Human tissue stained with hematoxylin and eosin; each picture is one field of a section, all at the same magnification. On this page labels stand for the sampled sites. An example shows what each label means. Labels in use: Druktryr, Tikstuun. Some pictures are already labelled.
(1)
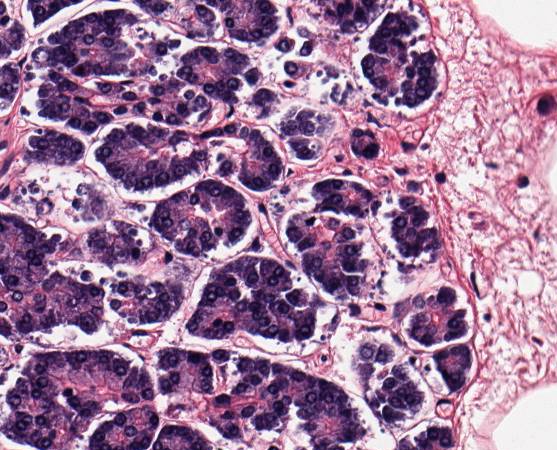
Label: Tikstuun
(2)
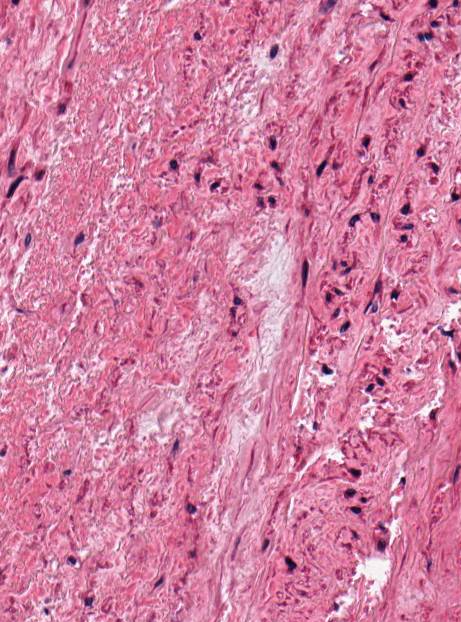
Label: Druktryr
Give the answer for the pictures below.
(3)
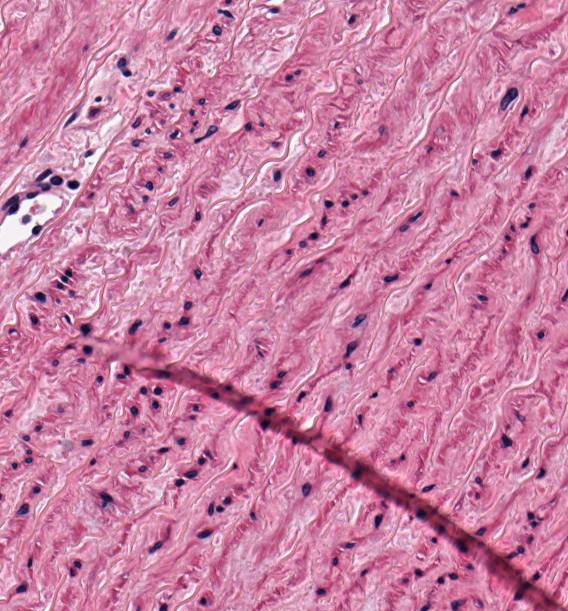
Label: Druktryr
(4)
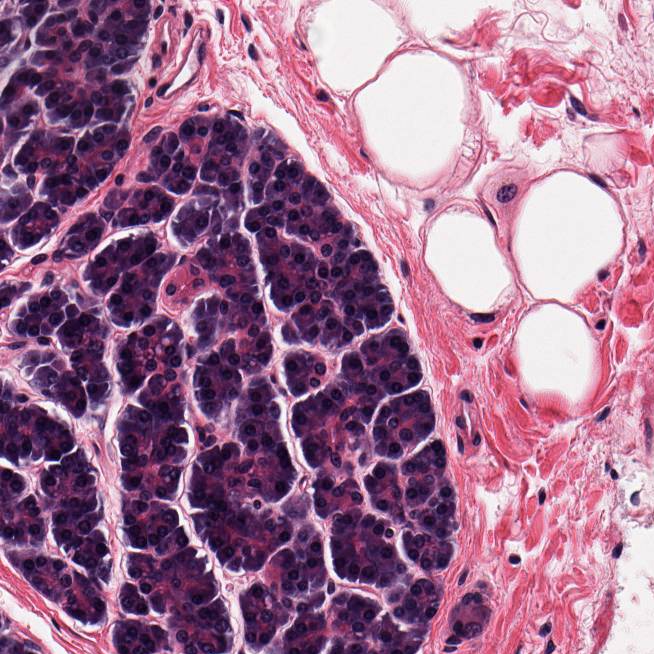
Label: Tikstuun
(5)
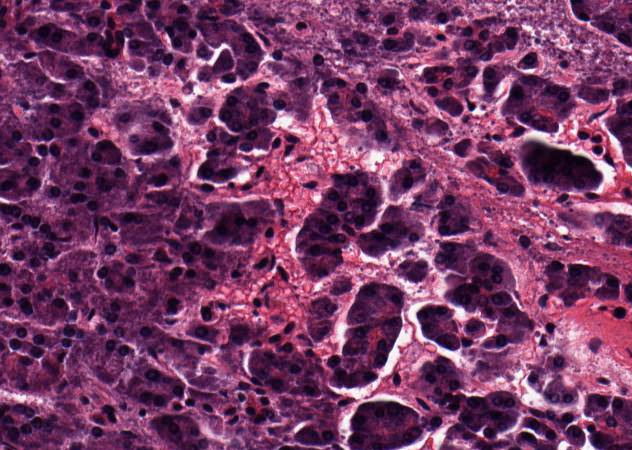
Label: Tikstuun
